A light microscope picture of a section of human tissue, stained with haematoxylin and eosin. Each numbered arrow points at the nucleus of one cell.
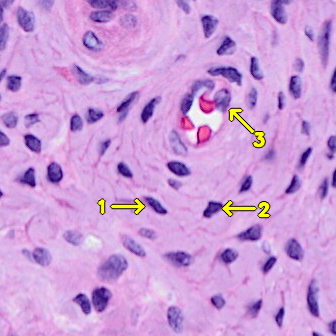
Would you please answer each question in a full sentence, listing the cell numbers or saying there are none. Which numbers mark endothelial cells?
Cell 3 is an endothelial cell, and this holds for no other numbered cell.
